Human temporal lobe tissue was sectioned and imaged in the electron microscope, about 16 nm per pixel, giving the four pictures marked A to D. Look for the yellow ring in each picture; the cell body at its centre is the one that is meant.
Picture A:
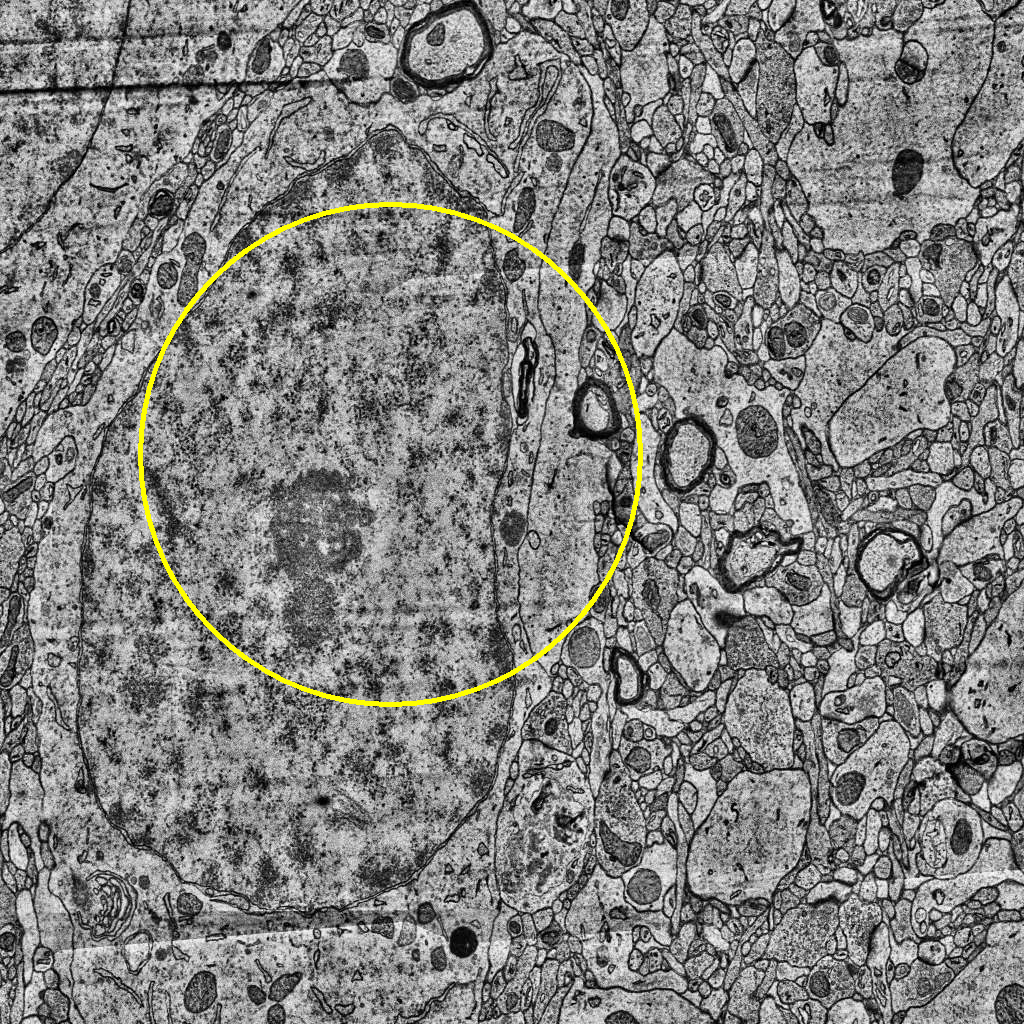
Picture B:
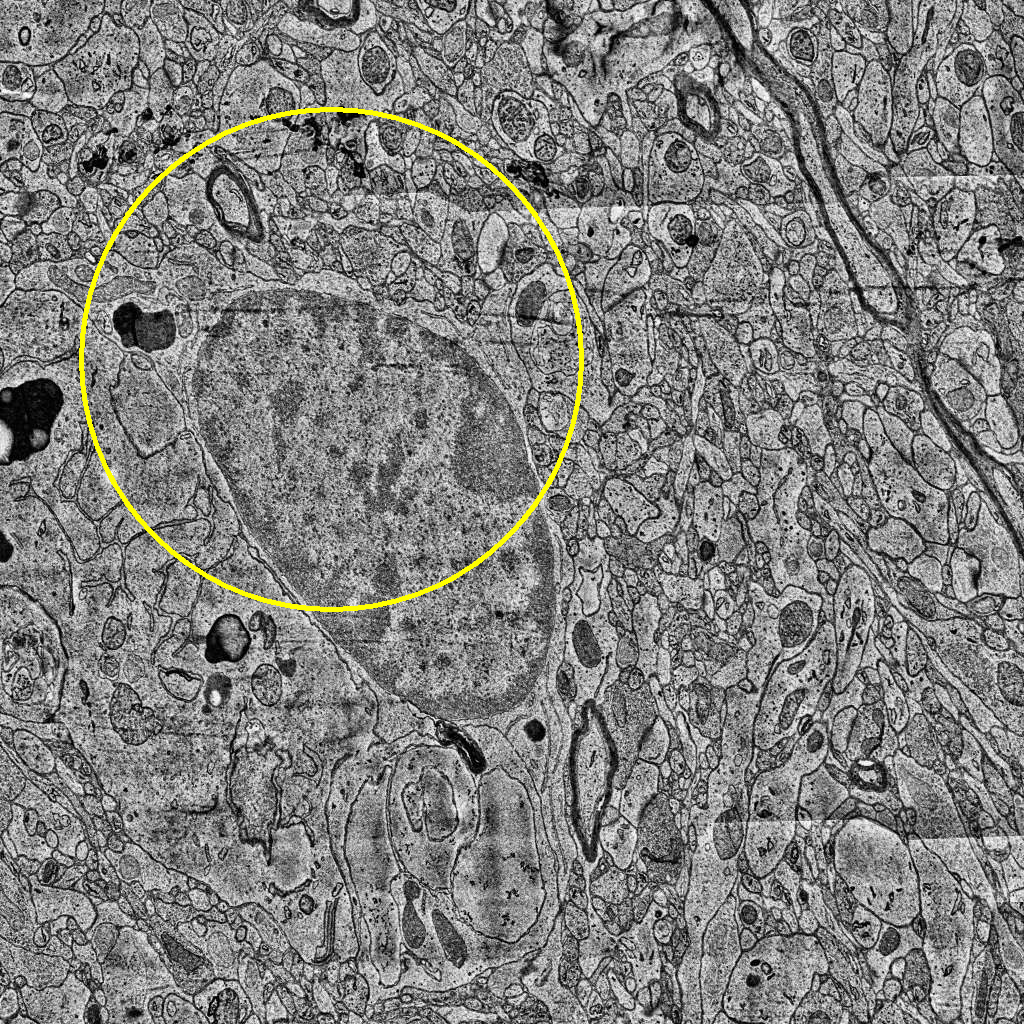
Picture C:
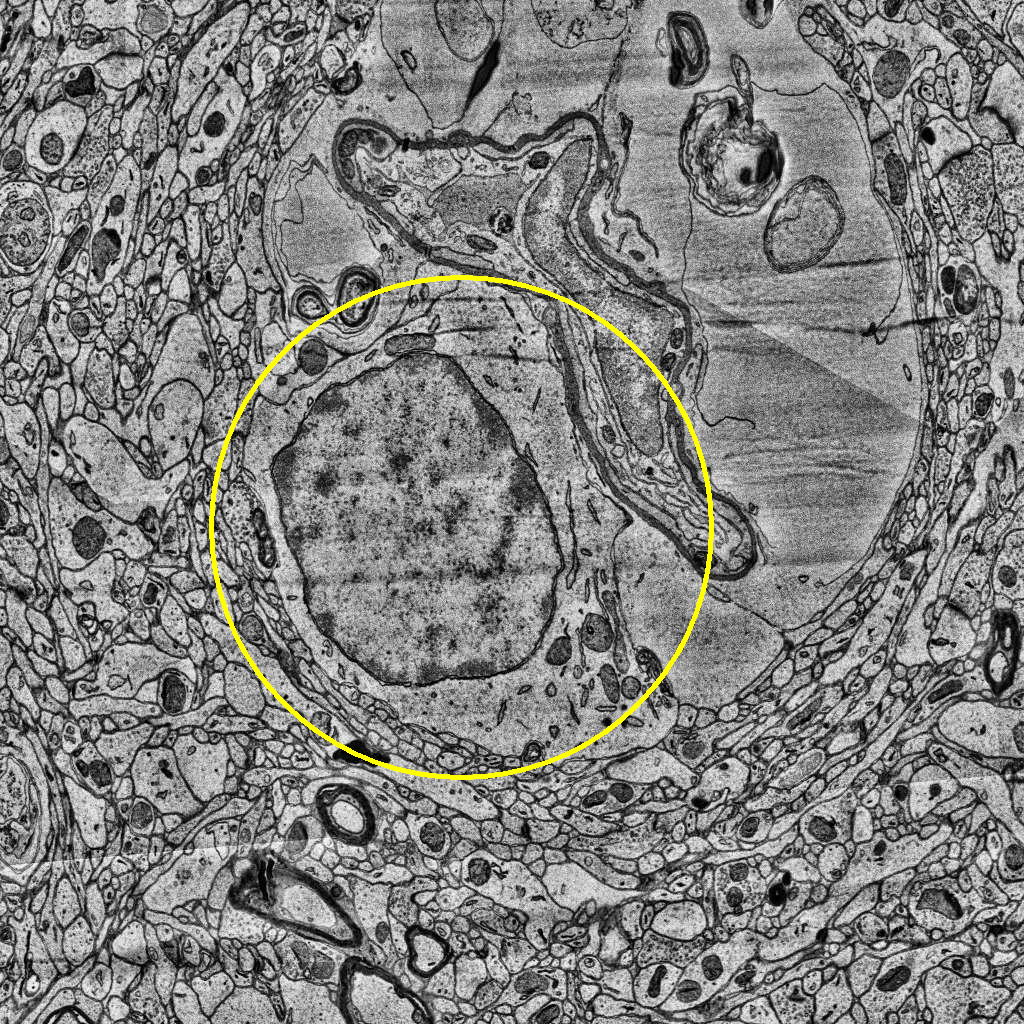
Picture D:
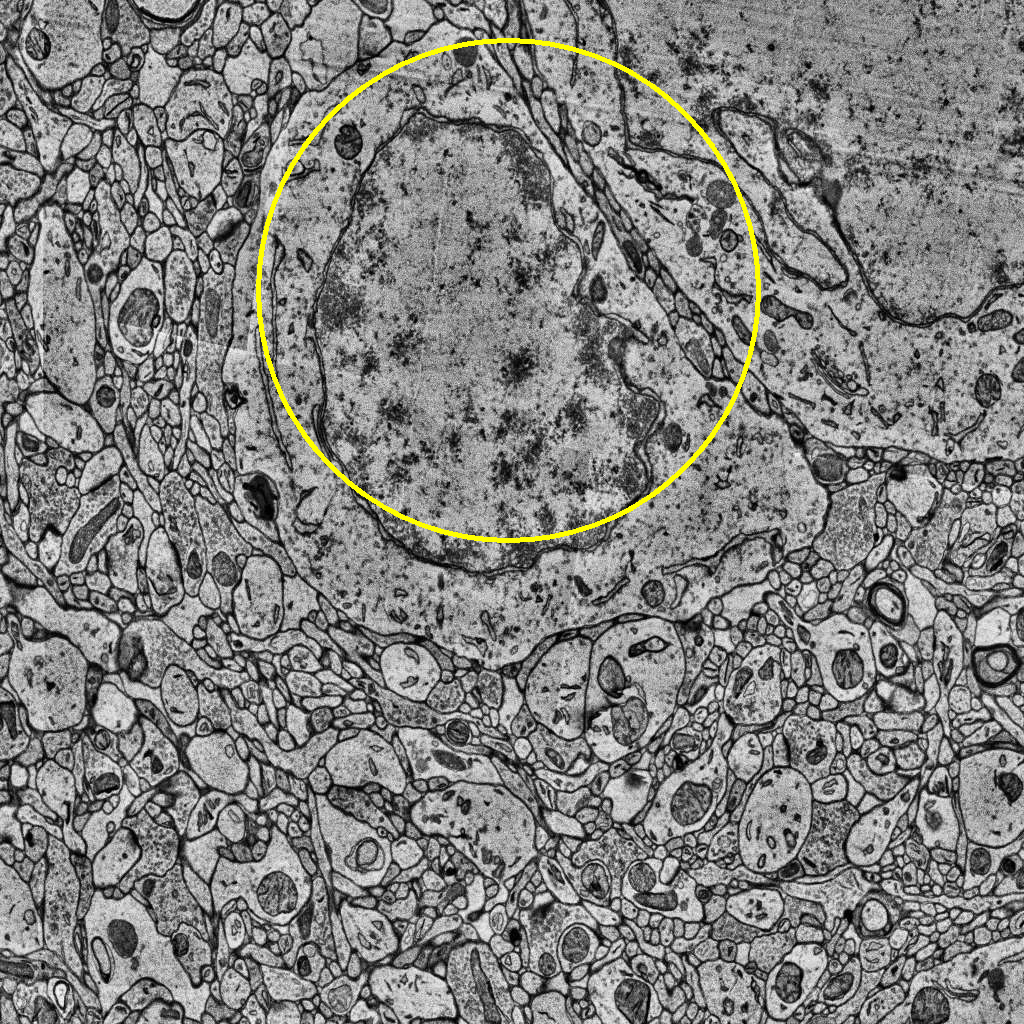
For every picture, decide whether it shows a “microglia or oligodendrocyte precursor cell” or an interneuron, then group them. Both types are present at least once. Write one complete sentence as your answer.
Pictures B and C show “microglia or oligodendrocyte precursor cells”, and pictures A and D show interneurons.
